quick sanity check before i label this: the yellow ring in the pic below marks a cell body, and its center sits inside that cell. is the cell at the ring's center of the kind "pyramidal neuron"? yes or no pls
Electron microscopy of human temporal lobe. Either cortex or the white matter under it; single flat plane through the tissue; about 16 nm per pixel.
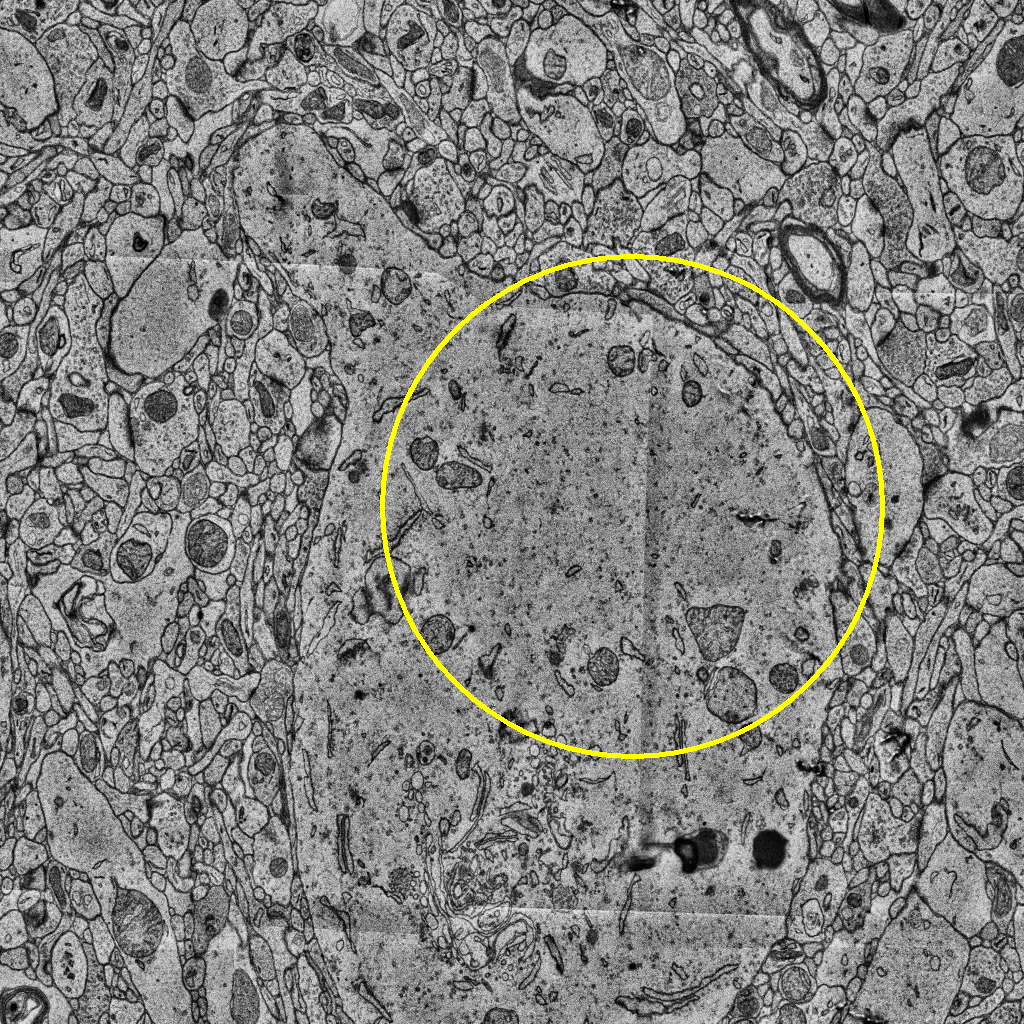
yes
